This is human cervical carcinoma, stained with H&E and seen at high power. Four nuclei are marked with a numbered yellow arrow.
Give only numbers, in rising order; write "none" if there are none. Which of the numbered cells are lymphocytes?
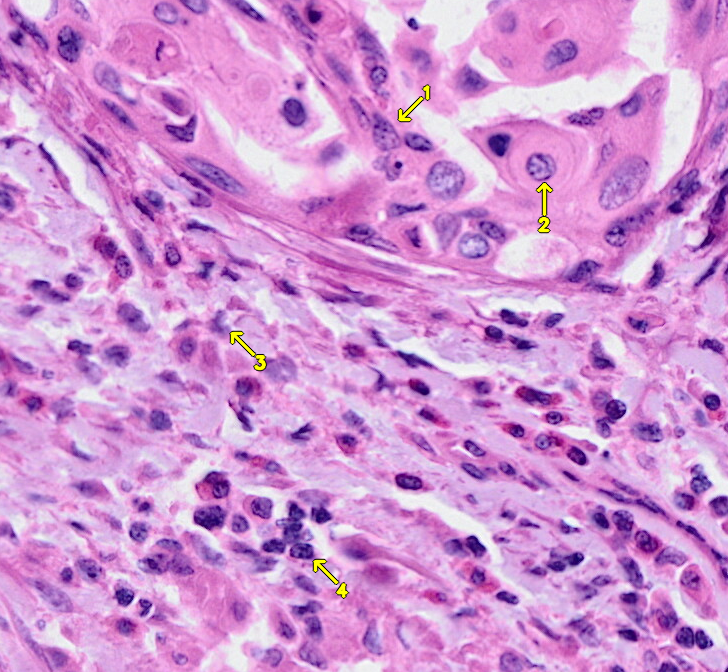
4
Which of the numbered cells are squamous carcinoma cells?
1, 2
